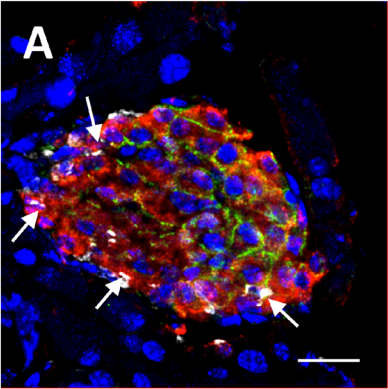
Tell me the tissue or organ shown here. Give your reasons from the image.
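Islets. A compact, rounded cluster of closely packed cells stands apart from the surrounding tissue. The cells of the cluster have red-stained cytoplasm around blue nuclei. The surrounding cells lack the red stain.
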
